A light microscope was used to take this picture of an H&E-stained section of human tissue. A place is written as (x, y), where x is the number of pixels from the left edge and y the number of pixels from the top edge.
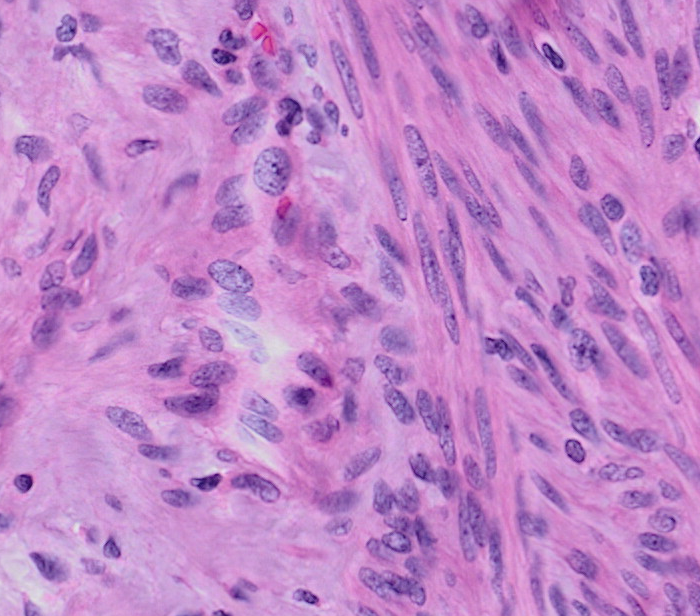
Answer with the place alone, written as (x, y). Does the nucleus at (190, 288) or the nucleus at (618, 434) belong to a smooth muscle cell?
(618, 434)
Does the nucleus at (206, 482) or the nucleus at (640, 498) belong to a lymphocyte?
(206, 482)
